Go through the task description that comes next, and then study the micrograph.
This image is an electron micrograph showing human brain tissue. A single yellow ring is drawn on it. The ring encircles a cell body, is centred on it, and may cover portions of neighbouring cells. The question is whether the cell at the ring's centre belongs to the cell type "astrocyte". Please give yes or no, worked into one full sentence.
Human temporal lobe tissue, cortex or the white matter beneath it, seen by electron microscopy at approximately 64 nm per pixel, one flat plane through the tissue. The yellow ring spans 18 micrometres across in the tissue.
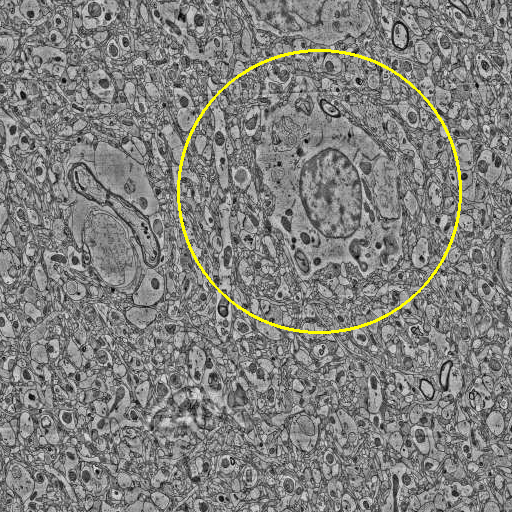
Yes, the cell that the ring is centred on in the micrograph is of this kind.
